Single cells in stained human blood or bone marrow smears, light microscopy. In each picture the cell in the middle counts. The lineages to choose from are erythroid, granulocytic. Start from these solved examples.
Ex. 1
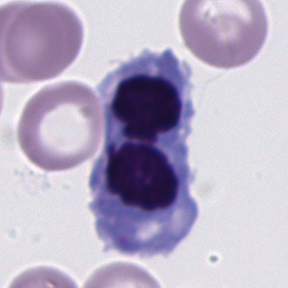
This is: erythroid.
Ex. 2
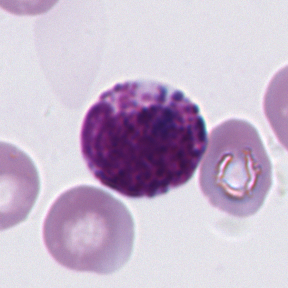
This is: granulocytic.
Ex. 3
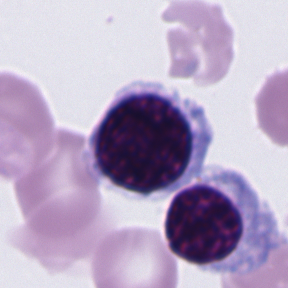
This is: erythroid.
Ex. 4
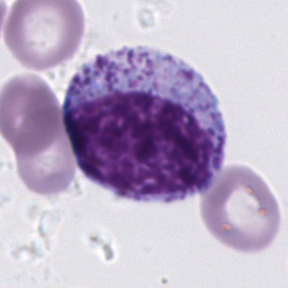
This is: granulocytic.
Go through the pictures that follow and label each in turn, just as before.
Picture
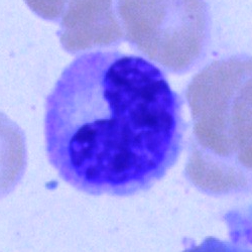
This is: granulocytic.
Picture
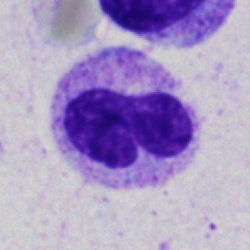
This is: granulocytic.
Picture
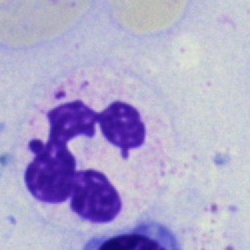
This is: granulocytic.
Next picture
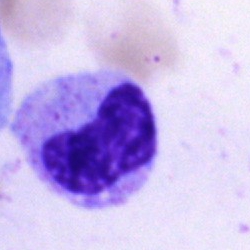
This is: granulocytic.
